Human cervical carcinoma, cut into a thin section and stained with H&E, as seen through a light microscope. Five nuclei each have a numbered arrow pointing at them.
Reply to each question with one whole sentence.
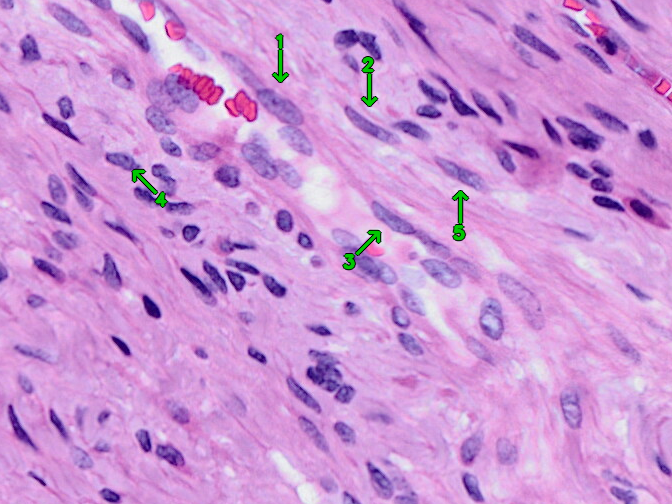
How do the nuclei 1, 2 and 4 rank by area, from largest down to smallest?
The nuclei rank 1, 2, 4, from largest to smallest.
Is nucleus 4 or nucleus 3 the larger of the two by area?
Nucleus 3 is the larger one, covering about 1.5 times the area of nucleus 4.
